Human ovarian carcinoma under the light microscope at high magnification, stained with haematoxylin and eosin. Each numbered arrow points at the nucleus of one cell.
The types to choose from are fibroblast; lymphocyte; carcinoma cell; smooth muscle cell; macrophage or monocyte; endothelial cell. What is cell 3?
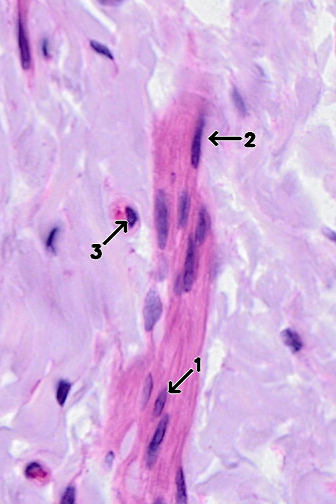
endothelial cell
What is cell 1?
smooth muscle cell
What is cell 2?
smooth muscle cell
